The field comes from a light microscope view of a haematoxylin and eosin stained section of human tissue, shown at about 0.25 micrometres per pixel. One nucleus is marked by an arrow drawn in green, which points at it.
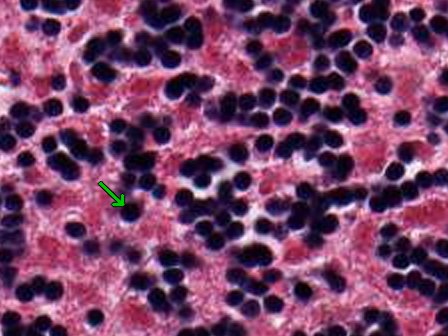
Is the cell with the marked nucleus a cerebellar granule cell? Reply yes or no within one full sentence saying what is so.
Yes, the marked nucleus is the nucleus of a cerebellar granule cell in this section.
